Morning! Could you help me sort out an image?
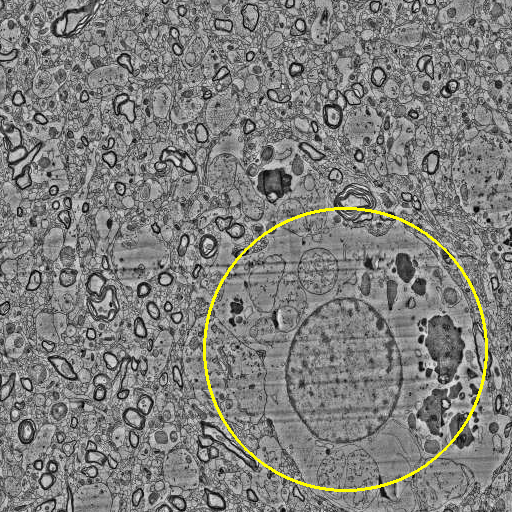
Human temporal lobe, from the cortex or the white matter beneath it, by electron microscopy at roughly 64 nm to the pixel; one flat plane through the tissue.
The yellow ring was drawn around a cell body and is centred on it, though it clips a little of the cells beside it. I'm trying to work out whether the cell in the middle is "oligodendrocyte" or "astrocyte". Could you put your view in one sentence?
The ringed cell body is that of an astrocyte.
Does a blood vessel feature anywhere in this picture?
Yes, one is visible.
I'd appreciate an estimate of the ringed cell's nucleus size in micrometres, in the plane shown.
About 9 by 7 micrometers, in this plane.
